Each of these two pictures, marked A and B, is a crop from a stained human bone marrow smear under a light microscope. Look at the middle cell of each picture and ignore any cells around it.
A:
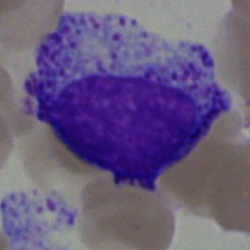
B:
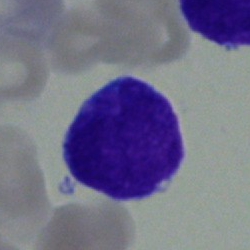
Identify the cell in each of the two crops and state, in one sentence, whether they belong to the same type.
No, the cell at the middle of crop A is a myelocyte, while crop B centres on a blast.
